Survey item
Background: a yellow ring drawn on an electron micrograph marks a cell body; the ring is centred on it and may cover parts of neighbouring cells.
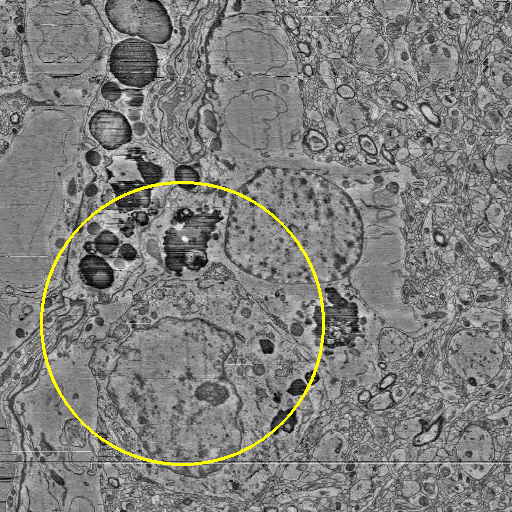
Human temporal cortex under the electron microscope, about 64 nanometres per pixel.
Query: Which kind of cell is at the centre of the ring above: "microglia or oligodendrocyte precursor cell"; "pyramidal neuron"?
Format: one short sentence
The cell in the middle of the ring is a pyramidal neuron.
